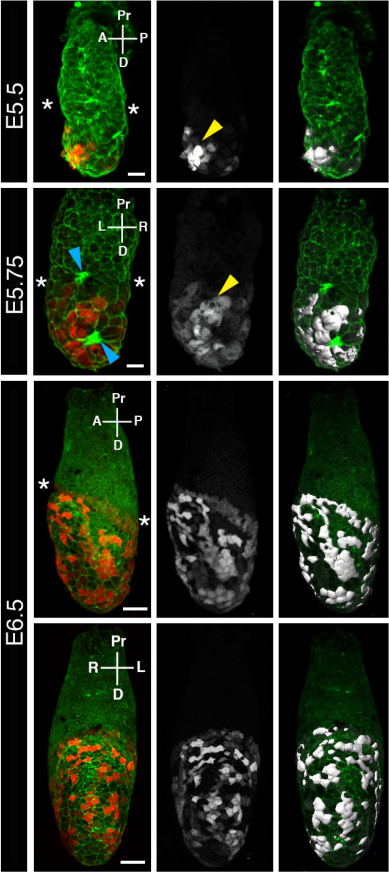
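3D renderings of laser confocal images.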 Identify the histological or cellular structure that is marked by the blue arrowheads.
Rosette-like cell arrangements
